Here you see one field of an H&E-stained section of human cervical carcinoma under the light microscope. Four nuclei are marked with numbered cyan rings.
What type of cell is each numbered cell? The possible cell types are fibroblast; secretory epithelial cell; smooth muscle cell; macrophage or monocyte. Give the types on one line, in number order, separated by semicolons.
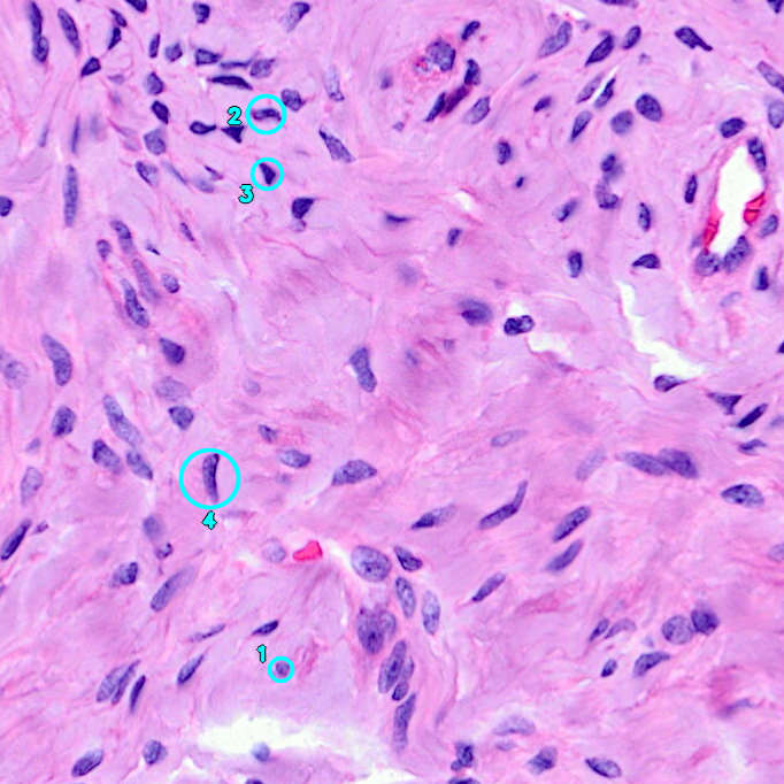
smooth muscle cell; fibroblast; fibroblast; fibroblast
